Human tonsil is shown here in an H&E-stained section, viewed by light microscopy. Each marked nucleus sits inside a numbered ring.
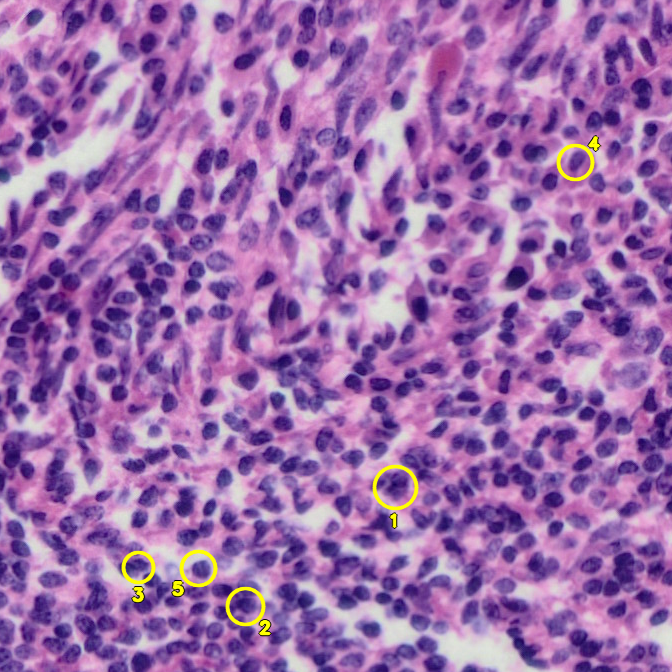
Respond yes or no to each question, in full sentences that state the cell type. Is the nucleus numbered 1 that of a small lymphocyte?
No, it is not a small lymphocyte that bears number 1 but a proliferating B cell.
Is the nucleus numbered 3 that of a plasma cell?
No, the cell carrying number 3 is a small lymphocyte, not a plasma cell.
